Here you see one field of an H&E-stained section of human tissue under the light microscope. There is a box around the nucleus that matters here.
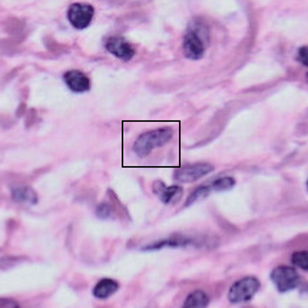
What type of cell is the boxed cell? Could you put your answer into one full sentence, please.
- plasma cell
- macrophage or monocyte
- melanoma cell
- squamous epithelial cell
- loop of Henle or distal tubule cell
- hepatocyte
What the boxed cell represents is a macrophage or monocyte.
